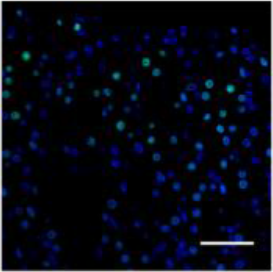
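Many nuclei, most numerous in the upper and central parts of the field, are filled with green or green-blue colour. These green nuclei are of similar size to their blue neighbours. The rest of the nuclei show only blue staining.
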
